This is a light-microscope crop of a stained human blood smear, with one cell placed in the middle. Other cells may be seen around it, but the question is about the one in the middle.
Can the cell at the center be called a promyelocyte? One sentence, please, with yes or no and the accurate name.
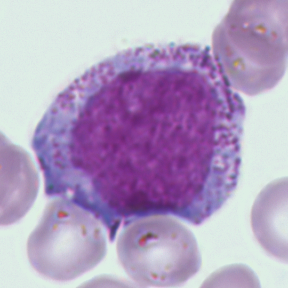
Yes, the cell in the centre is a promyelocyte.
